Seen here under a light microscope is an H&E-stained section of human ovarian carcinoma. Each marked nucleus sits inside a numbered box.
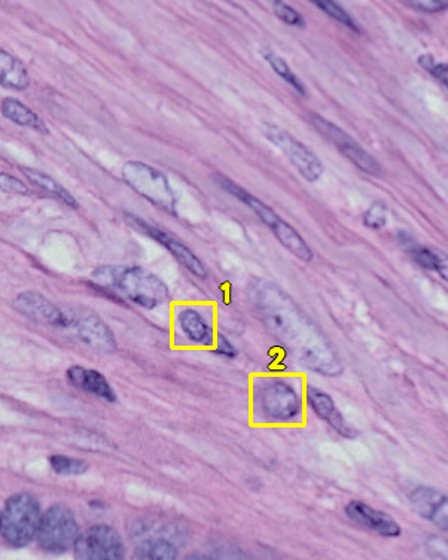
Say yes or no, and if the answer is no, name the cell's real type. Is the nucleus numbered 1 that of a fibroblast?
No, it is a macrophage or monocyte.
